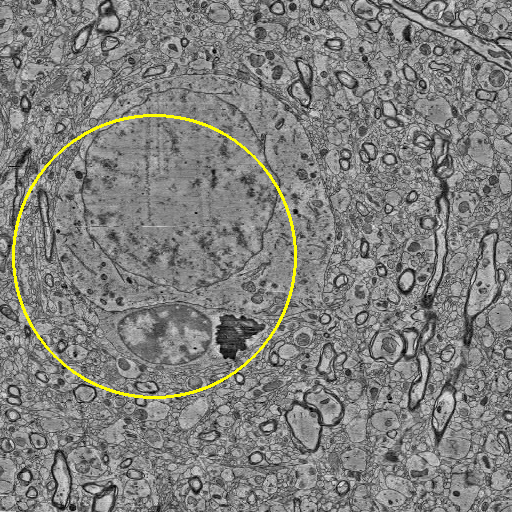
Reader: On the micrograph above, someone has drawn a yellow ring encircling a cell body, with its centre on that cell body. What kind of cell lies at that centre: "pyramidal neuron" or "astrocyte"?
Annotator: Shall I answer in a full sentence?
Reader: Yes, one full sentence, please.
Here a pyramidal neuron sits at the centre of the yellow ring drawn on the micrograph.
